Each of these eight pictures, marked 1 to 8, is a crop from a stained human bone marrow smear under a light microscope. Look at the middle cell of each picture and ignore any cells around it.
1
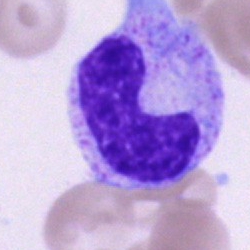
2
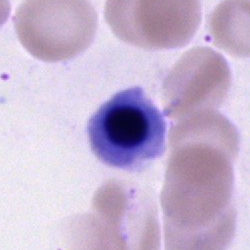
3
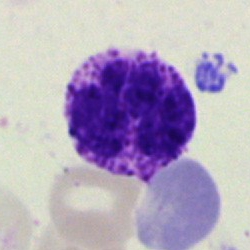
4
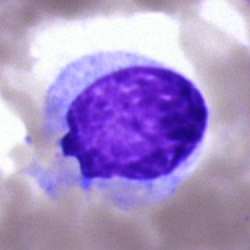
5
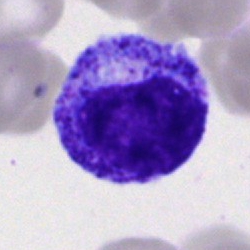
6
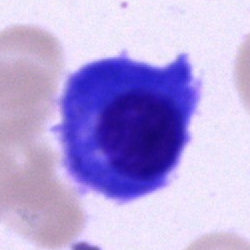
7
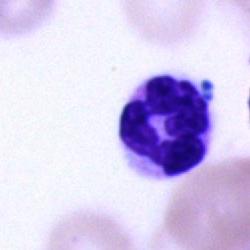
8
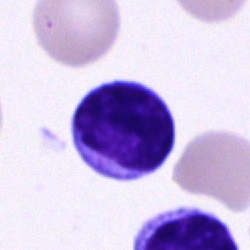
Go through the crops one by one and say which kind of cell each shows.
1: band neutrophil
2: erythroblast
3: basophil
4: hairy cell
5: myelocyte
6: plasma cell
7: segmented neutrophil
8: lymphocyte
